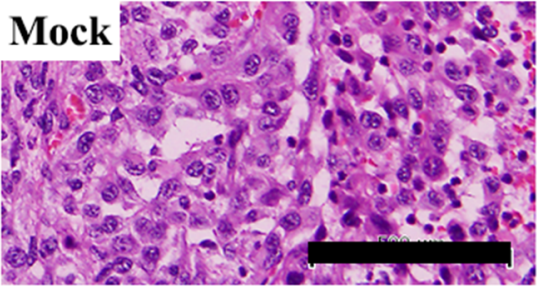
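This field shows a solid sheet of tumor cells crowded together without any orderly architecture. The cells have large, oval to irregular purple nuclei with open chromatin and distinct nucleoli, surrounded by pale pink cytoplasm. Nuclear size and shape vary from cell to cell. A few red blood cells lie in small spaces among the tumor cells.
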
